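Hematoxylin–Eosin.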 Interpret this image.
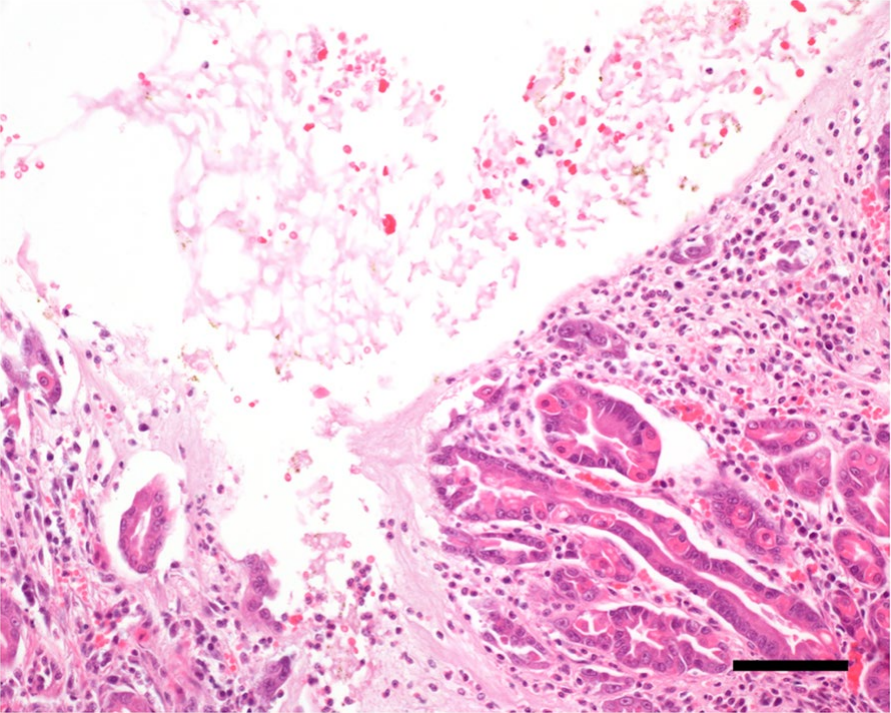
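This section shows gastric-type mucosa with an ulcerated surface. Glands of varying shape are lined by columnar to polygonal cells, many with abundant bright pink cytoplasm and round central nuclei. The glands are irregularly arranged in a stroma densely filled with small inflammatory cells that have round dark nuclei. The stroma facing the lumen has no epithelial lining. Above it lies loose, pale pink fibrinous material with scattered free red blood cells and a few nucleated cells. Red blood cells also fill small vessels within the stroma.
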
